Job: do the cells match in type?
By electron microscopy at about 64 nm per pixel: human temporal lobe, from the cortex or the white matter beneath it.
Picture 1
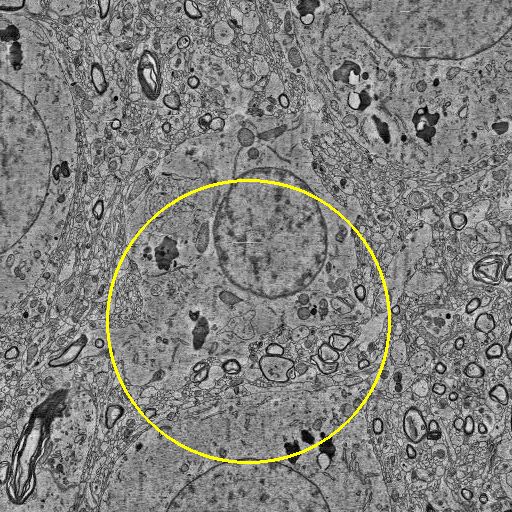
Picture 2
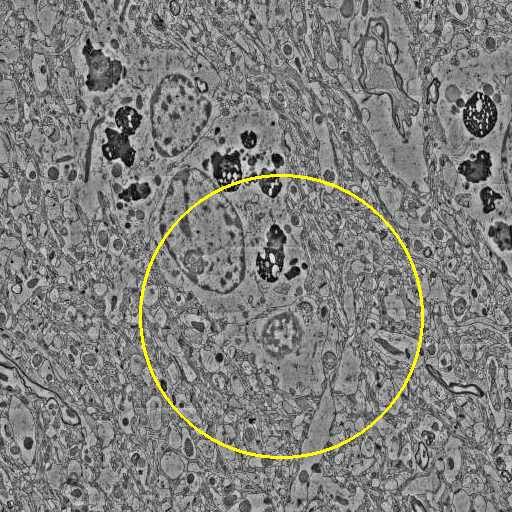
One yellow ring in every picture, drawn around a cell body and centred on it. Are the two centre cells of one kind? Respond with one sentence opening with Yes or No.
Yes, the ringed cells in the two pictures are of one and the same kind.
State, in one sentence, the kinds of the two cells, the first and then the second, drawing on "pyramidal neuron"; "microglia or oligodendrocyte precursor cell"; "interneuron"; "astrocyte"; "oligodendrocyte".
Each of the two cells is an astrocyte.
